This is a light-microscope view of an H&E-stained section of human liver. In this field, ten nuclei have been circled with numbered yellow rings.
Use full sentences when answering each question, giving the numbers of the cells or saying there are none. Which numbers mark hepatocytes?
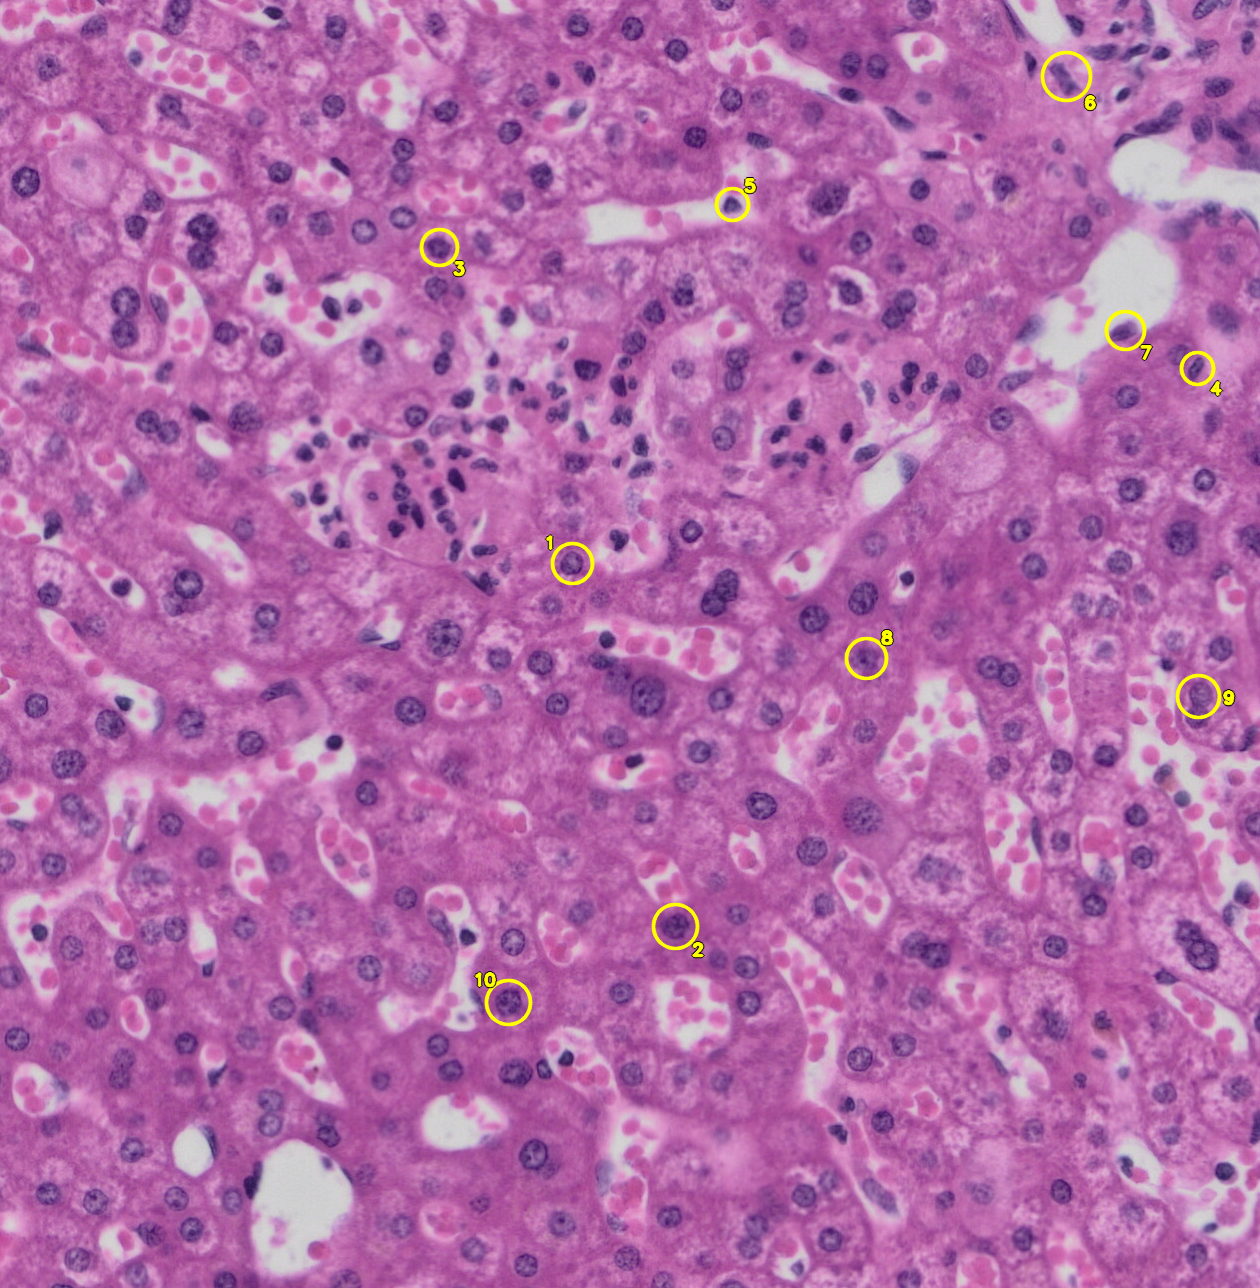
Cells 1, 2, 3, 8, 9 and 10 are hepatocytes by cell type.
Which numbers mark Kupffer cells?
There is just one numbered cell that is a Kupffer cell, and it is cell 7.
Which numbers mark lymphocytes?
Cell 5 alone, of all the numbered cells, is a lymphocyte.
